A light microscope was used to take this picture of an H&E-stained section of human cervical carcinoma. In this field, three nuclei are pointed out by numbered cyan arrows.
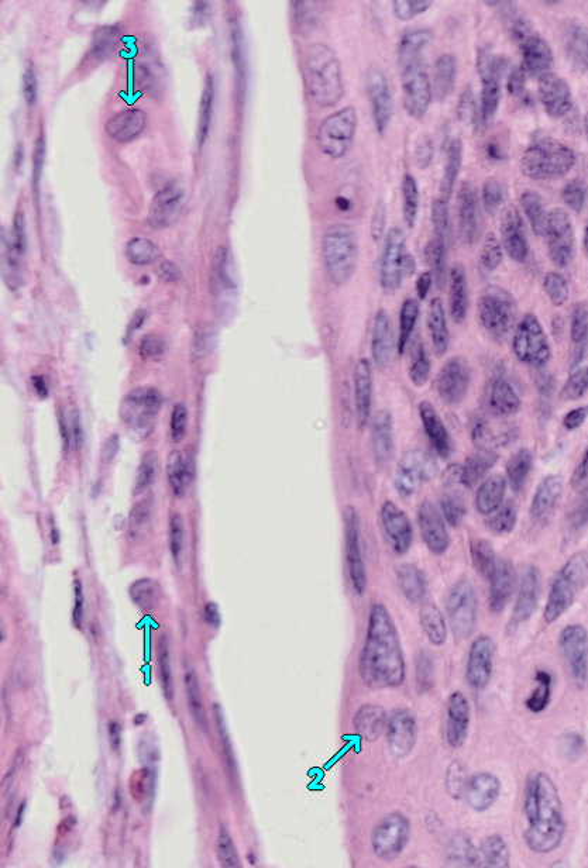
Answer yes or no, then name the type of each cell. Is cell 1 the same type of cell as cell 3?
No, cell 1 is a macrophage or monocyte and cell 3 is a squamous carcinoma cell.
